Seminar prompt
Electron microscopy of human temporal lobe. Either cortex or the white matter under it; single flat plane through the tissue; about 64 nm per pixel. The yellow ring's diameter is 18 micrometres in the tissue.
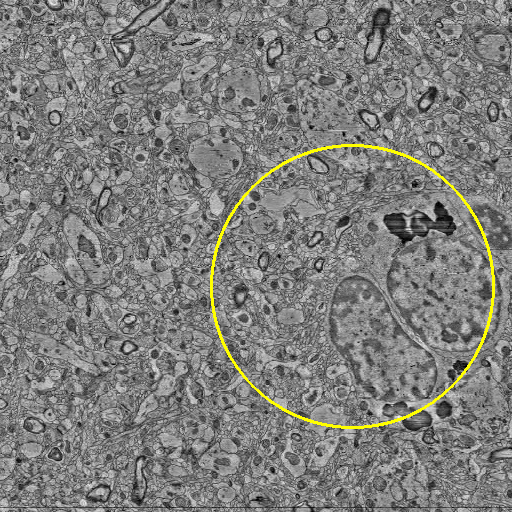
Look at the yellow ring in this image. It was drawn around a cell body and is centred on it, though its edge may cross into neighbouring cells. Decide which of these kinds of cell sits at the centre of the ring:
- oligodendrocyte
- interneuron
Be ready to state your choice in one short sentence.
The kind of cell at the ring's centre is an oligodendrocyte.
